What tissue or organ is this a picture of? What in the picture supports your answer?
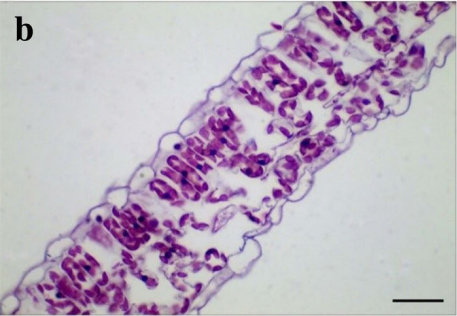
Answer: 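Leaves. A thin flat blade bounded on both faces by a single layer of clear epidermal cells. Columnar, tightly packed cells filled with stained granules beneath one surface. Loosely arranged irregular cells with air spaces toward the other surface.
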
